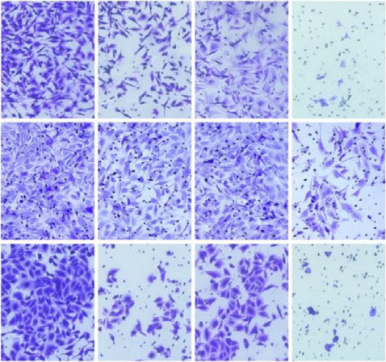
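Depending on the field, the cells are spindle-shaped and elongated, or polygonal and spread out in loose clusters. The number of cells varies widely between fields, from densely covered areas to nearly empty ones with only a few small stained fragments.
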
